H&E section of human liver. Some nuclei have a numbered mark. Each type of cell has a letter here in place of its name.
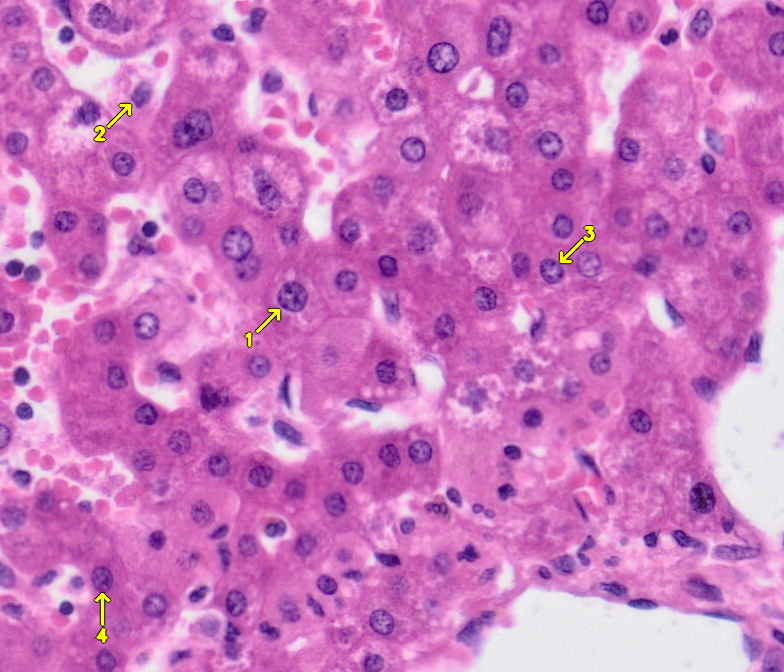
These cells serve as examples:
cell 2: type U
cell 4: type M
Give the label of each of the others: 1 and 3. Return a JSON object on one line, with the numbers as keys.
{"1": "type M", "3": "type M"}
